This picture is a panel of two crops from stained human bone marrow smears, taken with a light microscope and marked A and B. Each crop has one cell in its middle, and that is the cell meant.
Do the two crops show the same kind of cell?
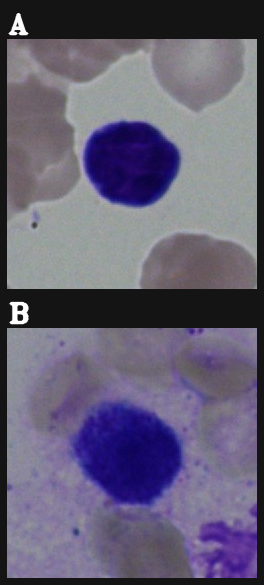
yes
